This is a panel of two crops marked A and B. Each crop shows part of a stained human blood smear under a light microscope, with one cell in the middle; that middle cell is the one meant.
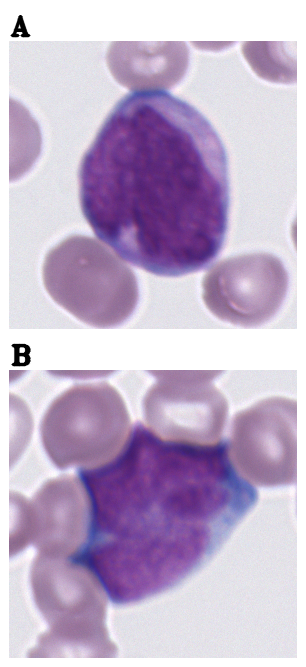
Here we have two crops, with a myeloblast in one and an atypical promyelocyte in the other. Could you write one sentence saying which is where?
Crop A holds an atypical promyelocyte; crop B holds a myeloblast.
